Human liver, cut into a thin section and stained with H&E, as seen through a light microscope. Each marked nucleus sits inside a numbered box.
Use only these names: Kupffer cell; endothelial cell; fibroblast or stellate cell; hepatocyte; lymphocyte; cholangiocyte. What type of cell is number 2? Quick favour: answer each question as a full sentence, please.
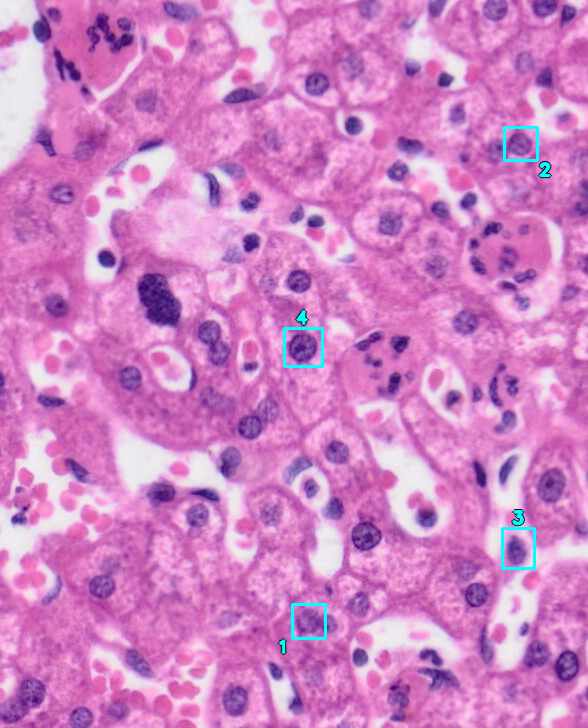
The nucleus with number 2 is that of a hepatocyte.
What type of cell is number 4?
The numbered cell 4 is identified here as a hepatocyte.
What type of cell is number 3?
In this section, the cell tagged 3 is a Kupffer cell.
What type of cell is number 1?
Looking at the numbered marks, cell 1 is a hepatocyte.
